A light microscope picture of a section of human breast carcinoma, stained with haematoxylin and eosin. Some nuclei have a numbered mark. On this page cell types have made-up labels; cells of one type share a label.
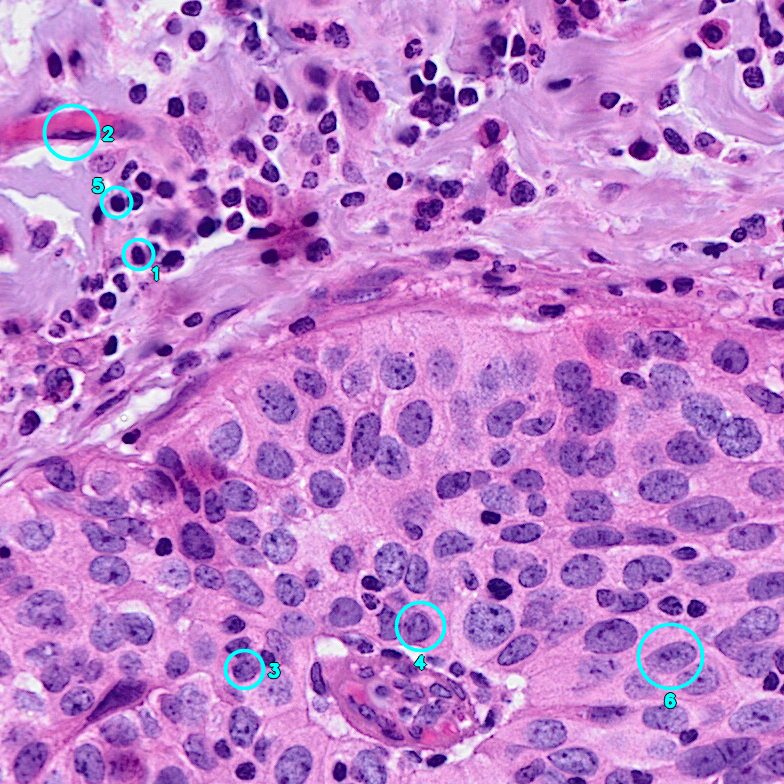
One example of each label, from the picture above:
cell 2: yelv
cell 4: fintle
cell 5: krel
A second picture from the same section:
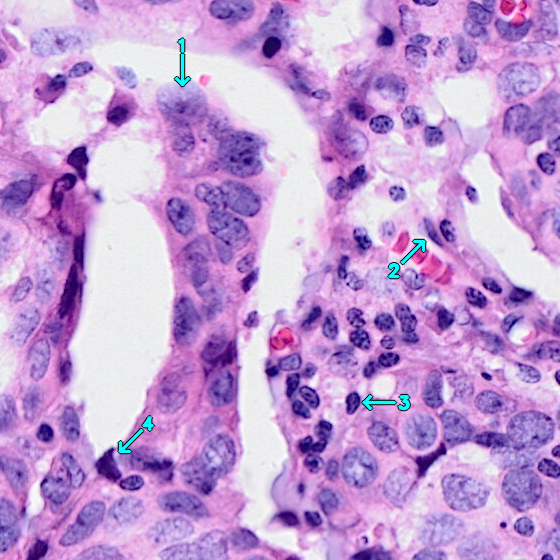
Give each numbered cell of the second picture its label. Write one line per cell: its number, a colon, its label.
1: fintle
2: yelv
3: krel
4: fintle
